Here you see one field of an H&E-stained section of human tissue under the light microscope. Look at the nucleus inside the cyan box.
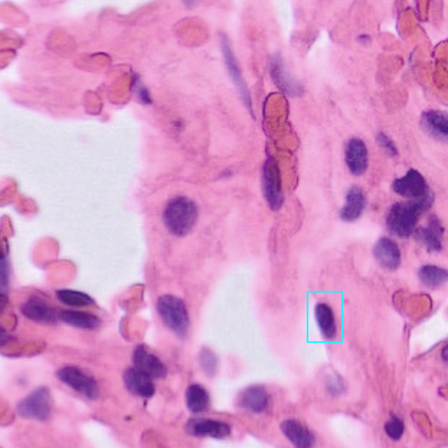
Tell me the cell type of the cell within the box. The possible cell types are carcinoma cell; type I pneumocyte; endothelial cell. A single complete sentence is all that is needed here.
Among the cells in this section, the cell within the box is a type I pneumocyte.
